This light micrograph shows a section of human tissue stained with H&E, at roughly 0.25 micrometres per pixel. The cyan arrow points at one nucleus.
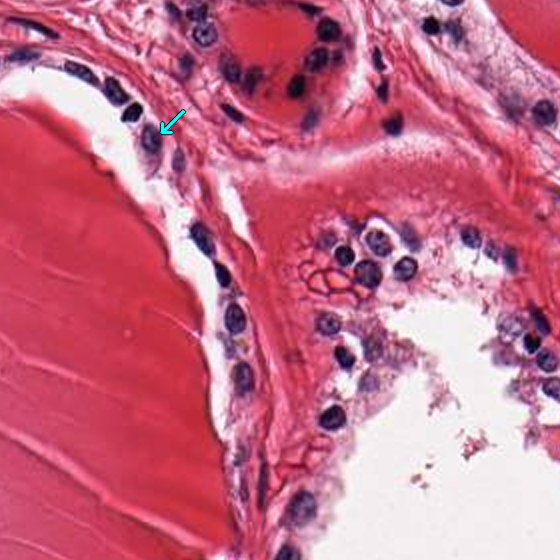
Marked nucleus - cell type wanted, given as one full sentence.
The nucleus that the mark indicates belongs to a thyroid follicular cell.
